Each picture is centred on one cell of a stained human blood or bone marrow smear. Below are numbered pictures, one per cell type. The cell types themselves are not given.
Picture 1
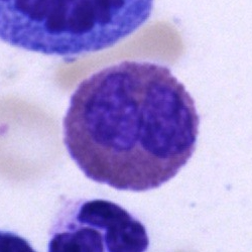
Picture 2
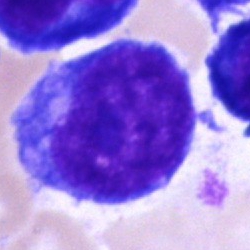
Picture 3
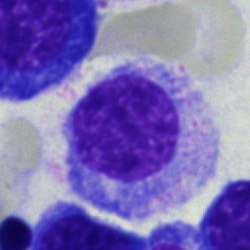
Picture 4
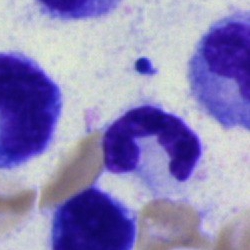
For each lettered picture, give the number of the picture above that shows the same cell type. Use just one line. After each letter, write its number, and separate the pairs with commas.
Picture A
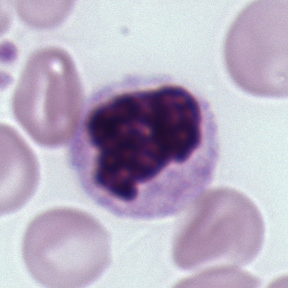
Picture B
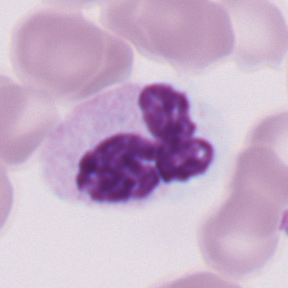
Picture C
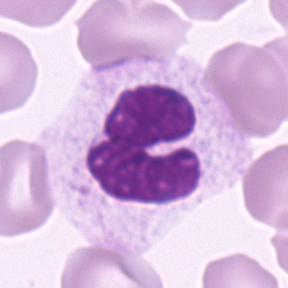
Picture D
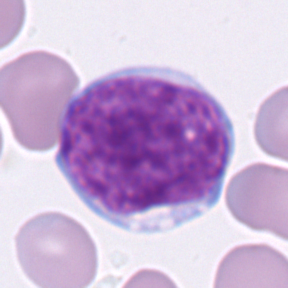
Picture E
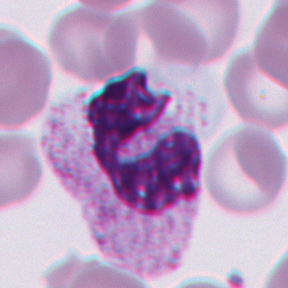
A 4, B 4, C 4, D 2, E 4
